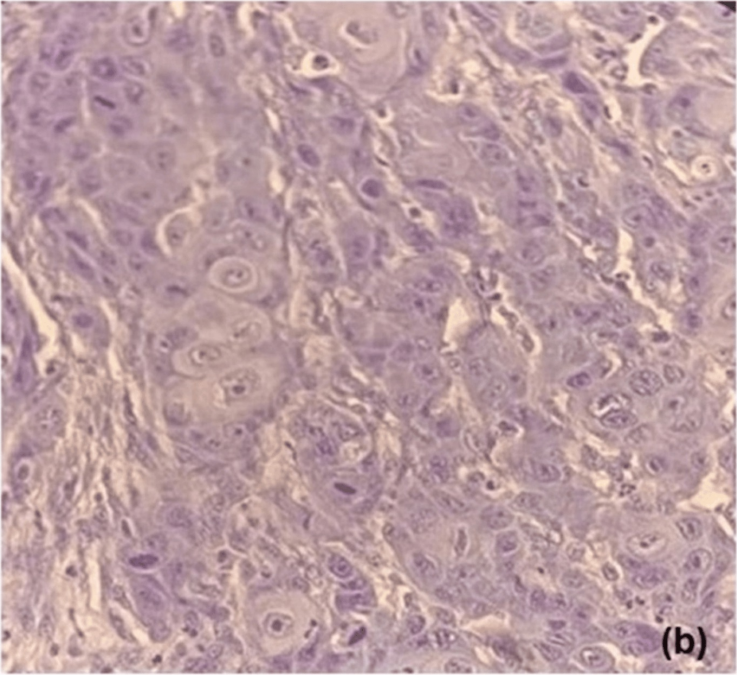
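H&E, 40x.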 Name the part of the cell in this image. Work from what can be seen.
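Many large nuclei hold a distinct dark dot at the centre. The dots stand out against the paler chromatin. So: prominent nucleoli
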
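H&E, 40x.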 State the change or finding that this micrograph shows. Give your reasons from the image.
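Keratinization. Some cells show concentric pink rings around a central core.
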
